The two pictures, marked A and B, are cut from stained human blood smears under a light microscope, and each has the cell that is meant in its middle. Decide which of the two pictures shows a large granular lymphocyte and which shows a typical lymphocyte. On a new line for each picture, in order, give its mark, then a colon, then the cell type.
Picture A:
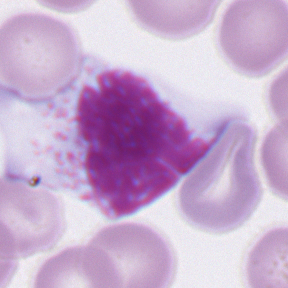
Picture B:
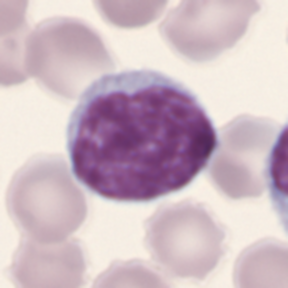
A: large granular lymphocyte
B: typical lymphocyte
